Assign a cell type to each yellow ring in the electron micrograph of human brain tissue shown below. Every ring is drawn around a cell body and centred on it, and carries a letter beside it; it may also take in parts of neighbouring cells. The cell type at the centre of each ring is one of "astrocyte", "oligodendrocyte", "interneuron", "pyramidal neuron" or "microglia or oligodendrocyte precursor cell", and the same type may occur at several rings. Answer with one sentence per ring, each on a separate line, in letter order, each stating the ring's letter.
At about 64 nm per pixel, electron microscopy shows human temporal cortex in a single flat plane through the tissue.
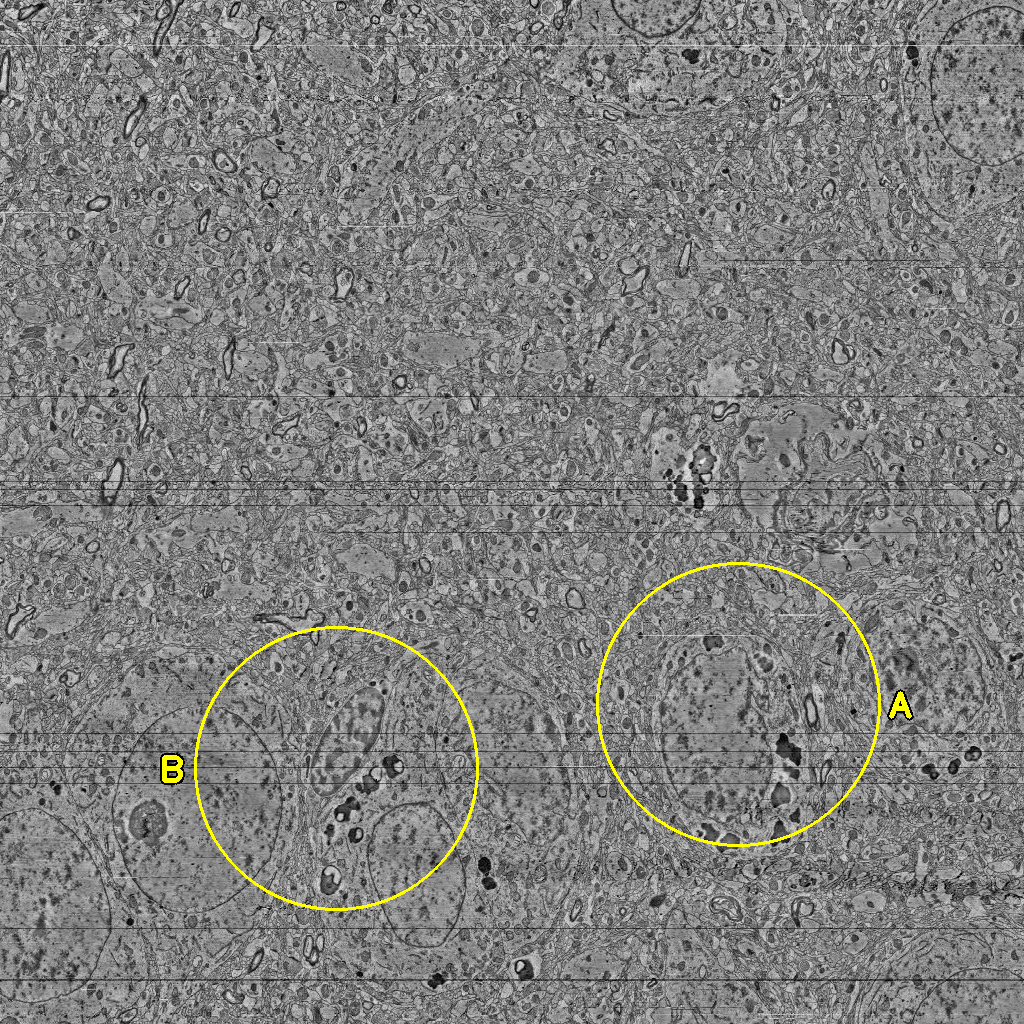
The cell at ring A's centre is an interneuron.
The cell at ring B's centre is a microglial cell or oligodendrocyte precursor cell.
